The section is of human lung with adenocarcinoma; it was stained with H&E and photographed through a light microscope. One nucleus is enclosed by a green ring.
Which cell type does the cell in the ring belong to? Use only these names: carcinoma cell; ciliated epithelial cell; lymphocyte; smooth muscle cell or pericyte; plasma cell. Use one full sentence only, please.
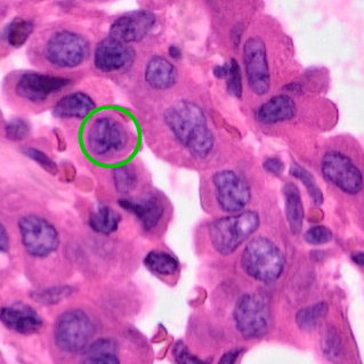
Among the cells in this section, the cell in the ring is a carcinoma cell.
